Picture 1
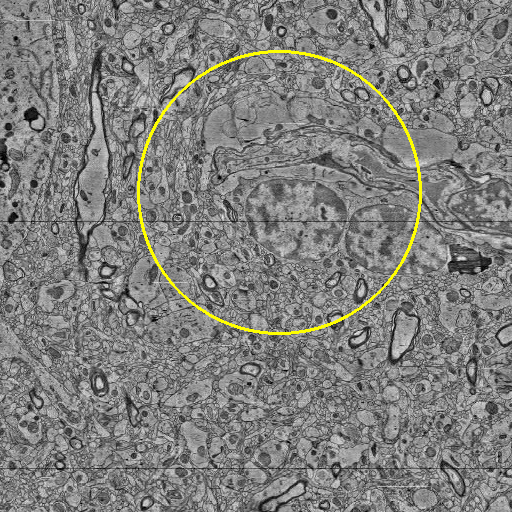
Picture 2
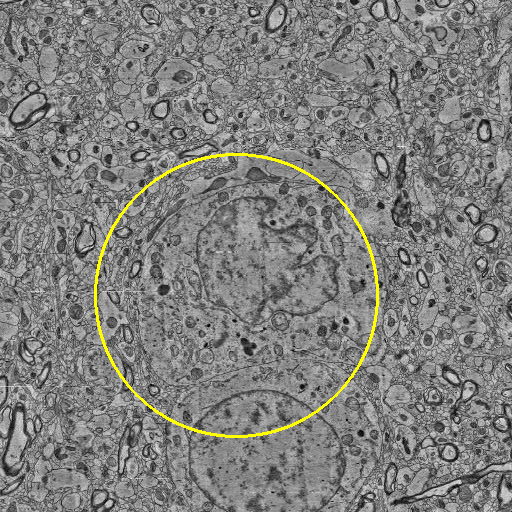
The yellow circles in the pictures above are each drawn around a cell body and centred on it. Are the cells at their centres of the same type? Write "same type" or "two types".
two types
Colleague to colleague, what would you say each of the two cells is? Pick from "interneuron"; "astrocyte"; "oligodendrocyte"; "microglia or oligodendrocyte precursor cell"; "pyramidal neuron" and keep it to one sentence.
The cell in the first picture is an oligodendrocyte; the second picture's cell is a pyramidal neuron.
